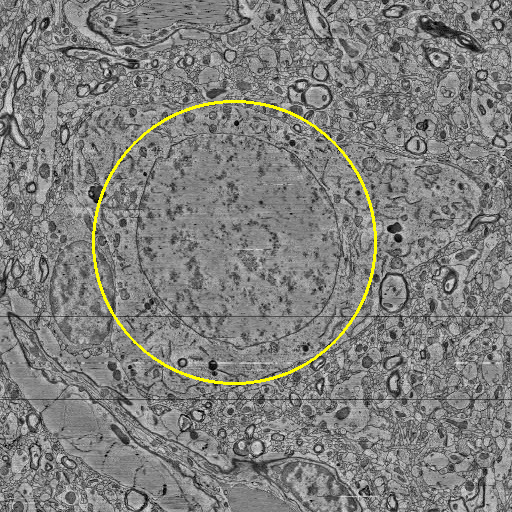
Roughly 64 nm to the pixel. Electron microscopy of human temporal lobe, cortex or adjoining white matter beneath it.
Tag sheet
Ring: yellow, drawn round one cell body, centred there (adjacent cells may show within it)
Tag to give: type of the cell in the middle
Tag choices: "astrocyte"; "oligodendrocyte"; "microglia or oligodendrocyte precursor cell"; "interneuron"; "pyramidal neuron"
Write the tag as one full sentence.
I tag the cell centred in the yellow ring as a pyramidal neuron in this picture.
